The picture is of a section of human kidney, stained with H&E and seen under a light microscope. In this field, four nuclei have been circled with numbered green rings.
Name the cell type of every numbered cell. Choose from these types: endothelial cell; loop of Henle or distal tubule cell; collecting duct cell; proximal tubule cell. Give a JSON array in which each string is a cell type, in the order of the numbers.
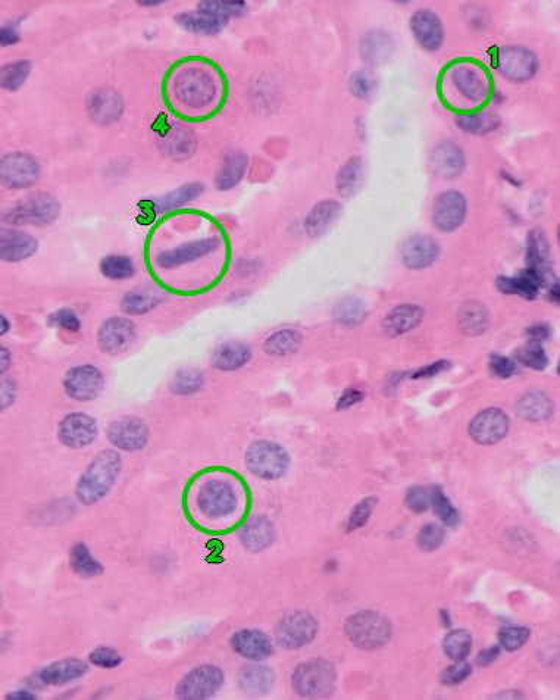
["collecting duct cell", "loop of Henle or distal tubule cell", "endothelial cell", "proximal tubule cell"]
